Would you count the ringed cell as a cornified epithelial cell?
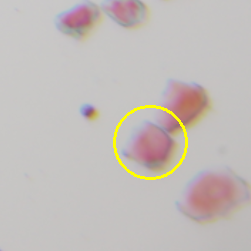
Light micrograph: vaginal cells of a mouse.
Yes, I would count it as a cornified epithelial cell.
